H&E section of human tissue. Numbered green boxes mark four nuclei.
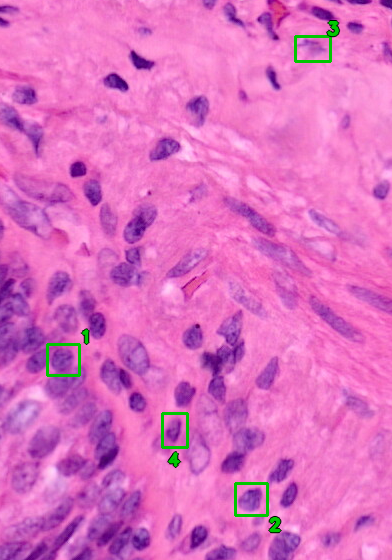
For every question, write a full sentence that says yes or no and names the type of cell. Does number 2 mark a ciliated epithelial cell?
No, a lymphocyte is what cell 2 is, not a ciliated epithelial cell.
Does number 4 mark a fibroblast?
No, it is a plasma cell that is marked with number 4, not a fibroblast.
